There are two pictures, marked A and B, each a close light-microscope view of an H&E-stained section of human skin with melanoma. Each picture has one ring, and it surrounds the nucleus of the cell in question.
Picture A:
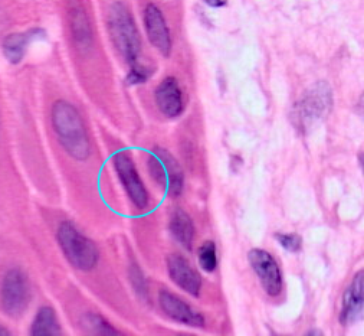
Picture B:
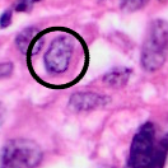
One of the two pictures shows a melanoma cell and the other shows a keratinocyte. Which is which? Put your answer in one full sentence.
It is picture A that shows a keratinocyte, and picture B that shows a melanoma cell.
